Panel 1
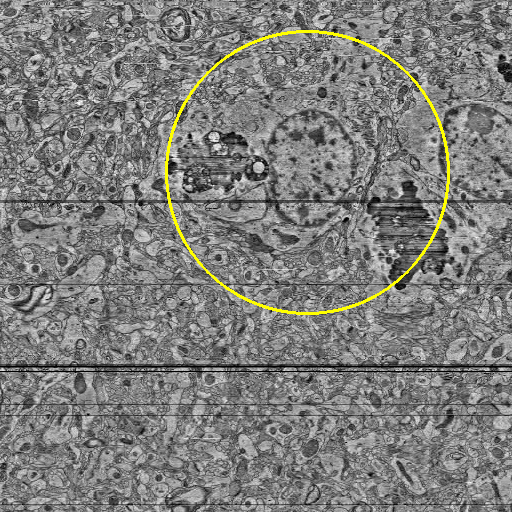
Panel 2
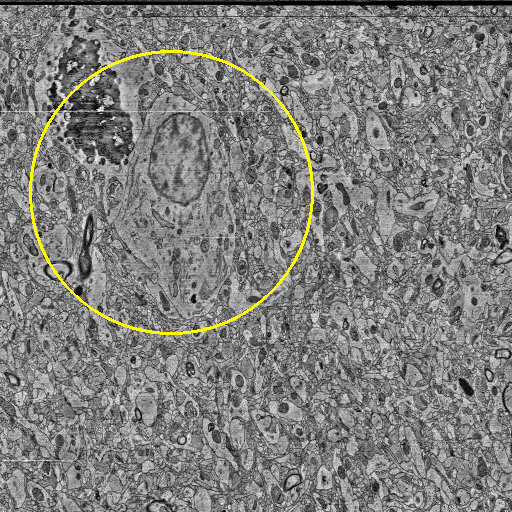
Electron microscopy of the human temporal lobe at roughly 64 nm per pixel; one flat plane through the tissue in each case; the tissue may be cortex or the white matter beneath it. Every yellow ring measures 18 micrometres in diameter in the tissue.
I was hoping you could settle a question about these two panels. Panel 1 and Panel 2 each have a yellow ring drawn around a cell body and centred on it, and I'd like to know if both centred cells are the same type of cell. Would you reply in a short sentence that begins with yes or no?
No, they are two types of cell.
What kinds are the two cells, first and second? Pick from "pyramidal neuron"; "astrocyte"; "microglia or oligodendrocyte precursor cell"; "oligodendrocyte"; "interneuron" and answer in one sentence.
The second picture holds an interneuron in its ring, and the first holds an astrocyte.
